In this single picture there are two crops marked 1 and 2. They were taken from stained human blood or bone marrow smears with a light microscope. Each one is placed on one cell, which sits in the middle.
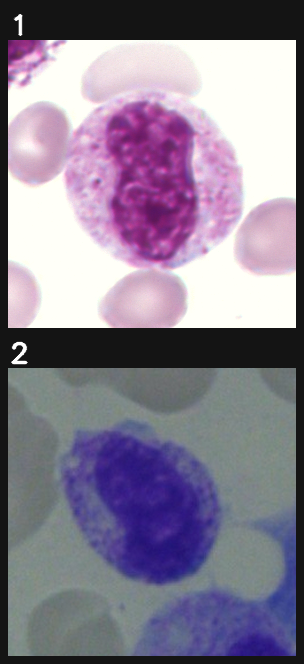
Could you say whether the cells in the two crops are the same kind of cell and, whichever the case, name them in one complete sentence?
Yes, what both crops show at their centres are metamyelocytes.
